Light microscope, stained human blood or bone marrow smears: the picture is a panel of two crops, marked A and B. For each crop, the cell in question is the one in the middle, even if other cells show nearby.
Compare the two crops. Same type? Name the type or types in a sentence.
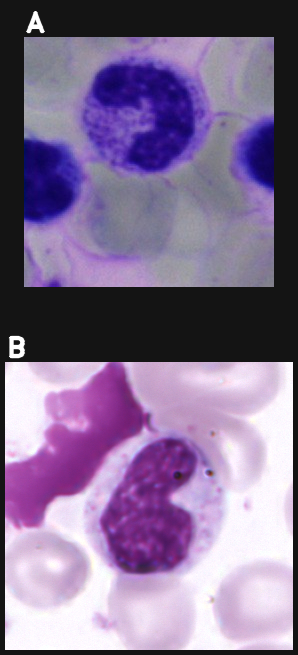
Yes, the cells at the centres of the two crops are band neutrophils.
